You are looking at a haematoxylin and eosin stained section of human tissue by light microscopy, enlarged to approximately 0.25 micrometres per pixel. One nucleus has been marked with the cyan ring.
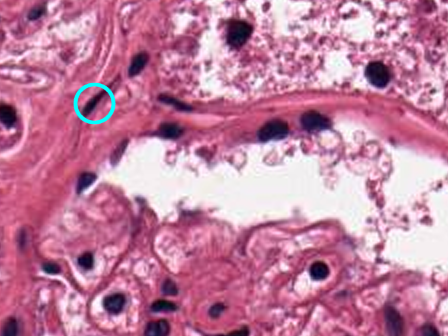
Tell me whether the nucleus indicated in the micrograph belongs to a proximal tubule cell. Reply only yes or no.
no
